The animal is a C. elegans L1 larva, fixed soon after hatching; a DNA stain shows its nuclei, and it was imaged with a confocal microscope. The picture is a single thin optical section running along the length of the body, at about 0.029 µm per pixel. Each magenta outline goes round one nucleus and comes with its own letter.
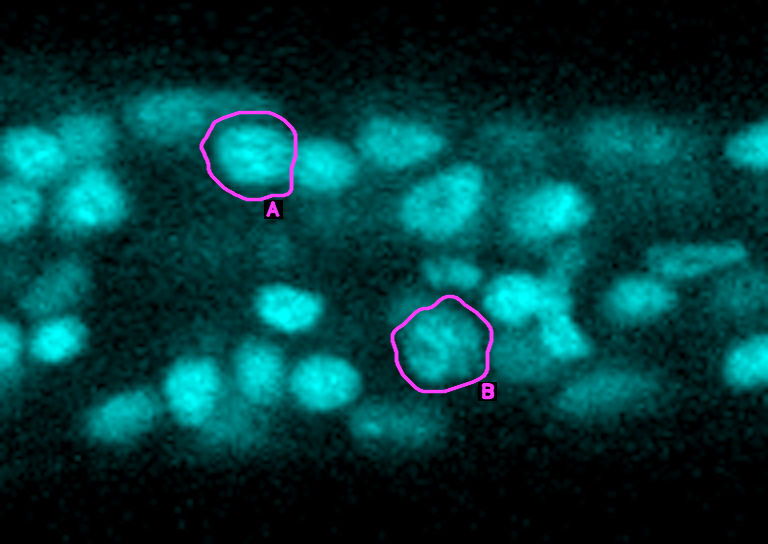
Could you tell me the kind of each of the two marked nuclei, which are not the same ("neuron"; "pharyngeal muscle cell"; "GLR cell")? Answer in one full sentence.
The nucleus A is that of a neuron, while B is that of a pharyngeal muscle cell.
